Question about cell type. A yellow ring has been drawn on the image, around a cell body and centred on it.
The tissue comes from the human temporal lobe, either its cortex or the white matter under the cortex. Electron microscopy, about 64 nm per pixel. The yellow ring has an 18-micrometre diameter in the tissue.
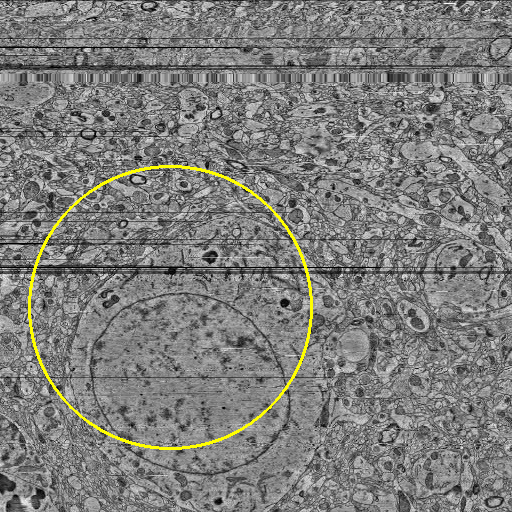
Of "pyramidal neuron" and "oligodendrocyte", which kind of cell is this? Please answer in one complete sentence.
At the centre of the ring lies a pyramidal neuron.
